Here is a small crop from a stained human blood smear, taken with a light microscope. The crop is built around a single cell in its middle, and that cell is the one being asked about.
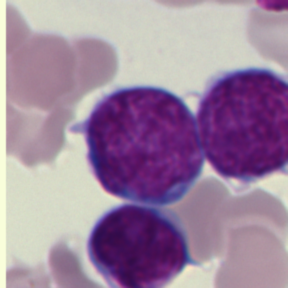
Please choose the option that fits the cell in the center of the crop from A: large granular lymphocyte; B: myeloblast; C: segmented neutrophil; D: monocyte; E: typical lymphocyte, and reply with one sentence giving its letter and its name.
The cell in the middle is a myeloblast, and that makes option B correct.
